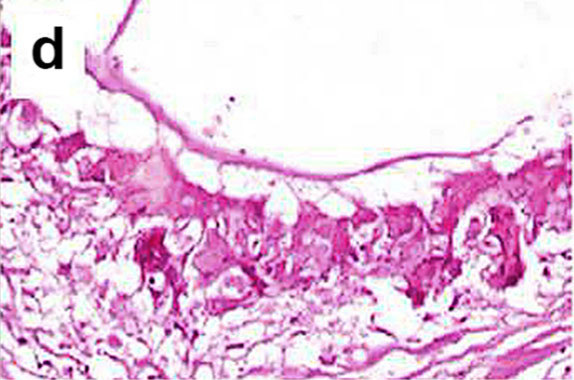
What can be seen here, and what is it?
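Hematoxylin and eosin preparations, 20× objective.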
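Foreign body giant cell reaction along a thin, wavy eosinophilic membrane bordering a large empty space. Large multinucleated cells with abundant pink cytoplasm line the outer side of the membrane.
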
